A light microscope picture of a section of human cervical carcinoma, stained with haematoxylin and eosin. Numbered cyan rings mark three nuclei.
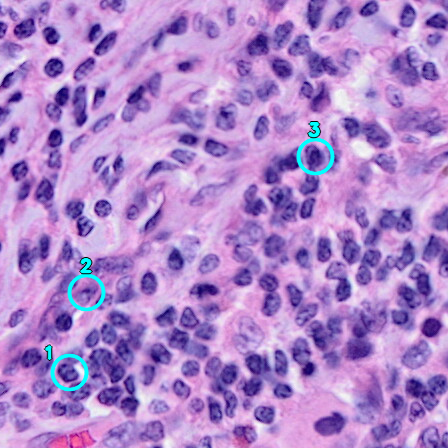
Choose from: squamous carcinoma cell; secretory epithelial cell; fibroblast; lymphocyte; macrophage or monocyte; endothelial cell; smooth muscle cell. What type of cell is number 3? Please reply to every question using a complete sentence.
Recognised here as a lymphocyte is the cell numbered 3.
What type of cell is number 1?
The cell given label 1 is a lymphocyte.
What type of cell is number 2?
Number 2 among the marked cells is an endothelial cell.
